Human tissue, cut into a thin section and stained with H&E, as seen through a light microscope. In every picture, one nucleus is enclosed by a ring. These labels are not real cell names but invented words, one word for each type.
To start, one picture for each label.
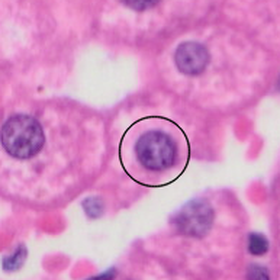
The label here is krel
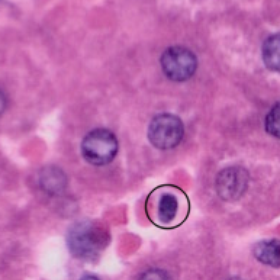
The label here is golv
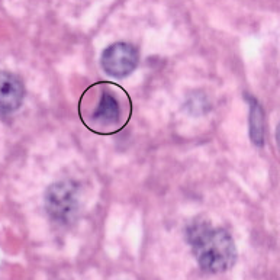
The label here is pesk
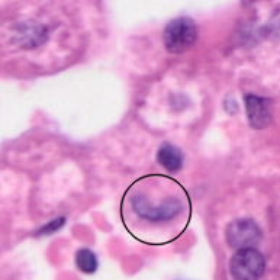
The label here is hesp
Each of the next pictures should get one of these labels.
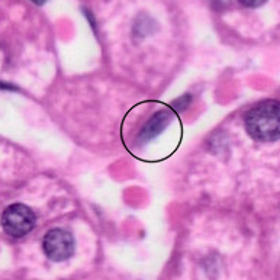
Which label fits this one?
hesp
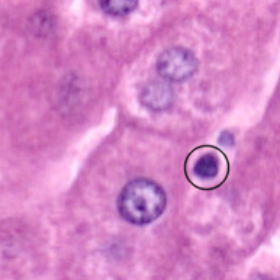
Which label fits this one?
golv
